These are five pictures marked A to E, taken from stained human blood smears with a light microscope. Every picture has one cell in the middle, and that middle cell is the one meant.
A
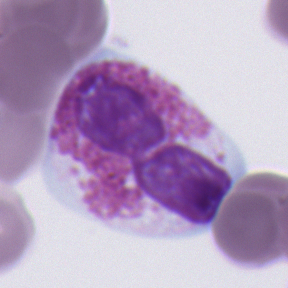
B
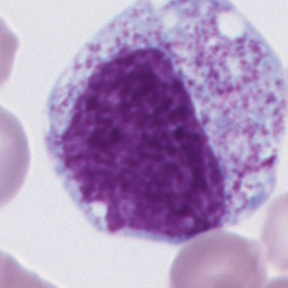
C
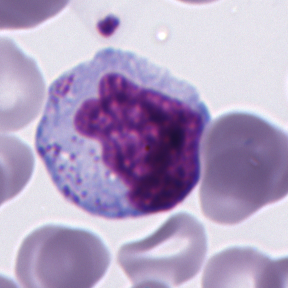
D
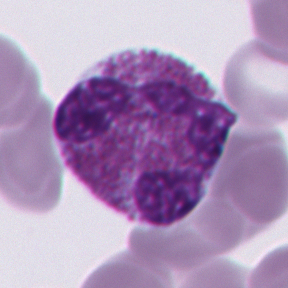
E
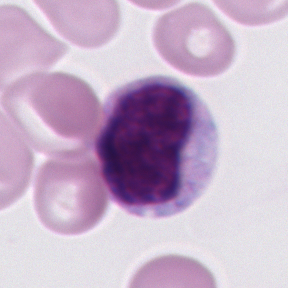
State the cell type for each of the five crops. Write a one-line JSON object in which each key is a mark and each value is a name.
{"A": "eosinophil", "B": "myelocyte", "C": "large granular lymphocyte", "D": "eosinophil", "E": "metamyelocyte"}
